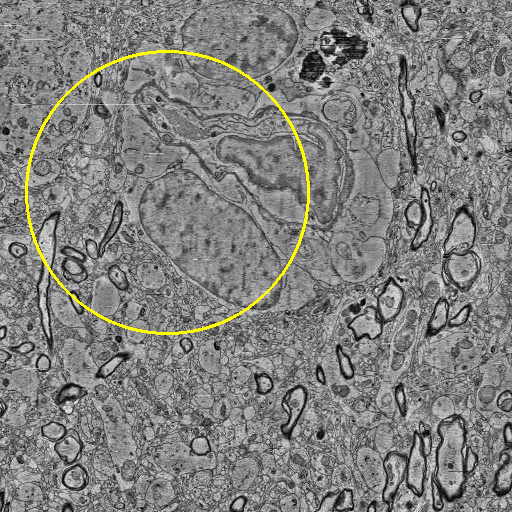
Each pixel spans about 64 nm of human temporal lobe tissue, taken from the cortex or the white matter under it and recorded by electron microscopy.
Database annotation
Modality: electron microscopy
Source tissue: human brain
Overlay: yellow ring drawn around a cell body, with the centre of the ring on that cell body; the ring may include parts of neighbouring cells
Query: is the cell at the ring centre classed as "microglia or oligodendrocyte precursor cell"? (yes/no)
yes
